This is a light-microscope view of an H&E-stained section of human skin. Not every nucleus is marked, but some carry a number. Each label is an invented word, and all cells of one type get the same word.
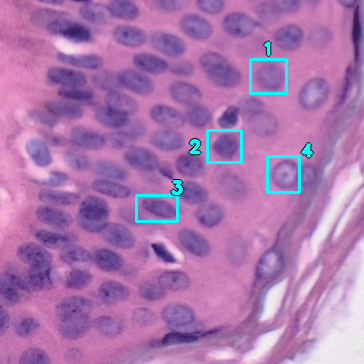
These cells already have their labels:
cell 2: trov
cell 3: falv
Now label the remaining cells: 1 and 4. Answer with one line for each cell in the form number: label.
1: trov
4: trov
